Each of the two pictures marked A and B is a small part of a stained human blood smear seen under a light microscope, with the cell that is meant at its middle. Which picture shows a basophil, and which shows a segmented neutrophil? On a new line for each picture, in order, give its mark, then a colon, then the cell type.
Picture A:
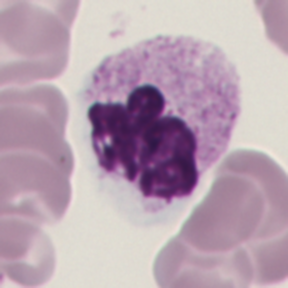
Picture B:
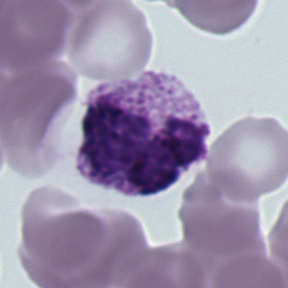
A: segmented neutrophil
B: basophil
